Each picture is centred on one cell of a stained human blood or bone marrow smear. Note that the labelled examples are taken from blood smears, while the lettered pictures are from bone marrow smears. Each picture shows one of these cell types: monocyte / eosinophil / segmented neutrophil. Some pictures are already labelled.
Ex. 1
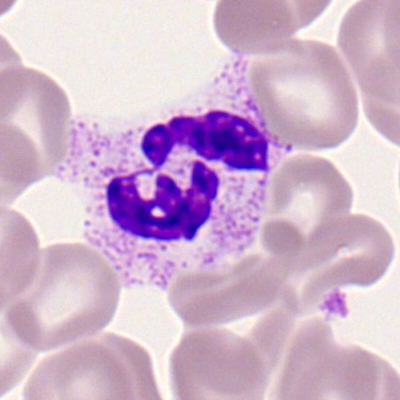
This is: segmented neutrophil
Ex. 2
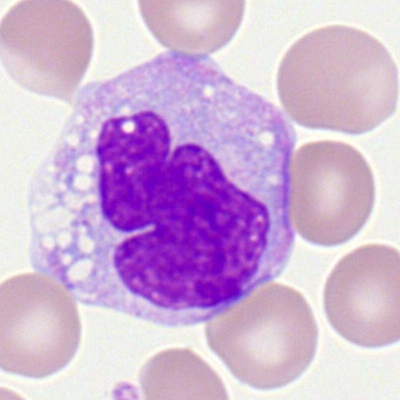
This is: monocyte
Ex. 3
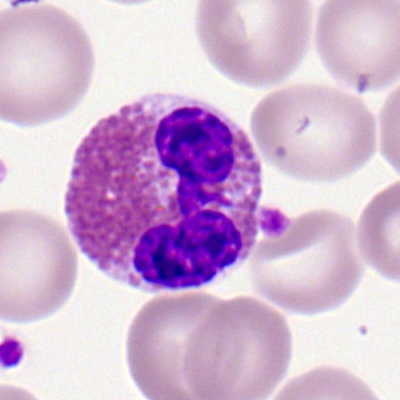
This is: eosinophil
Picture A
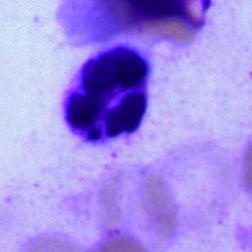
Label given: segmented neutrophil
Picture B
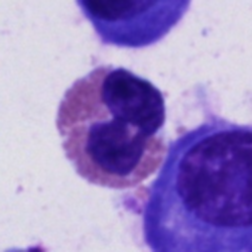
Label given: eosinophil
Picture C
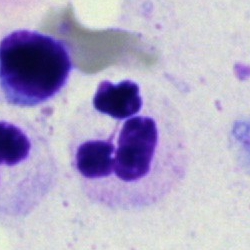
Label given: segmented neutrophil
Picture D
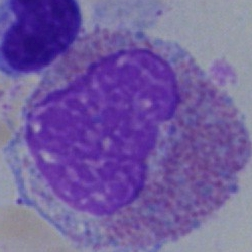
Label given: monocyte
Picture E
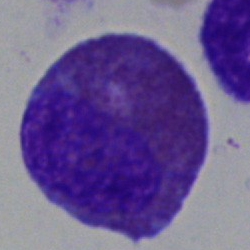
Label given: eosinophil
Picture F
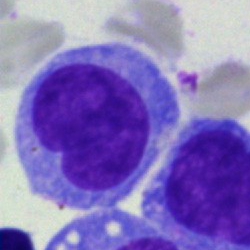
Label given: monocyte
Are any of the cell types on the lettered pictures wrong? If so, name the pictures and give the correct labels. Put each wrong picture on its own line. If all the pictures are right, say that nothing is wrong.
D: change monocyte to eosinophil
